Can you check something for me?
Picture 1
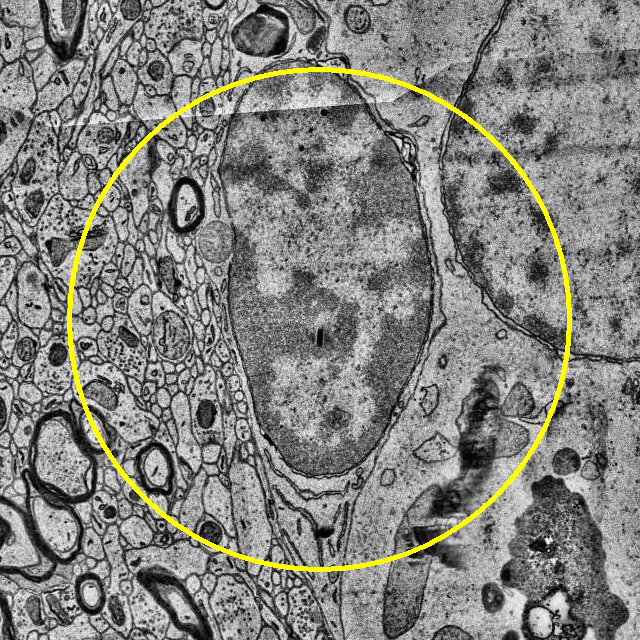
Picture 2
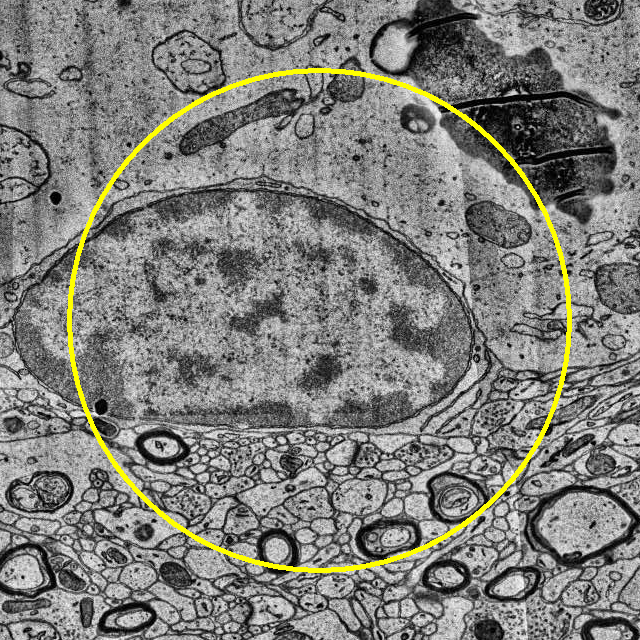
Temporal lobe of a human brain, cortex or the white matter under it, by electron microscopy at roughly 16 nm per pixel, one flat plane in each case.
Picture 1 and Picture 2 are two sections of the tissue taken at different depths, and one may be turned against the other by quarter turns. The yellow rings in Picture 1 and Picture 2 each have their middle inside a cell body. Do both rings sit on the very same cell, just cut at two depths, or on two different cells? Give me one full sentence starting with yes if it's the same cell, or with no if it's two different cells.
Yes, the same cell turns up inside each of the two rings.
